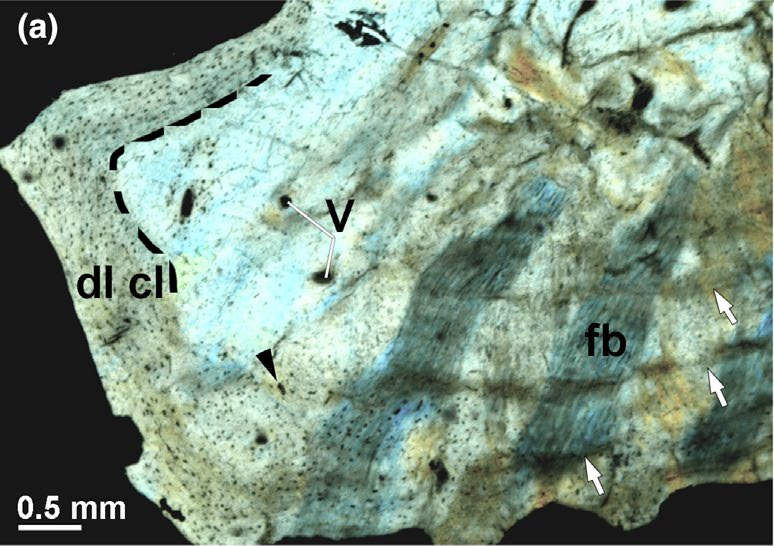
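Cross-section of bone in which a dense band of tiny dark cell lacunae lies along the outer surface. Deeper in, a few larger dark vascular canals open in the matrix, and broad bluish fibre bundles run across the section at an angle to the surface. Faint lines cross the deeper matrix roughly parallel to the surface.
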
